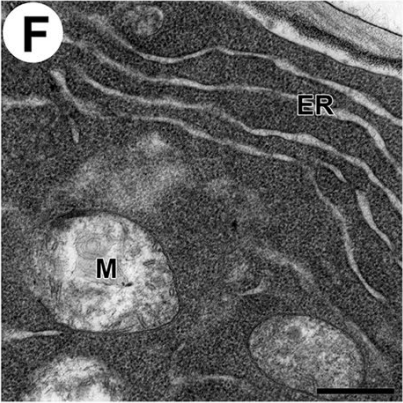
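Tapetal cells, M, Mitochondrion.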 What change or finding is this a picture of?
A: Highly electron dense cytoplasm.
